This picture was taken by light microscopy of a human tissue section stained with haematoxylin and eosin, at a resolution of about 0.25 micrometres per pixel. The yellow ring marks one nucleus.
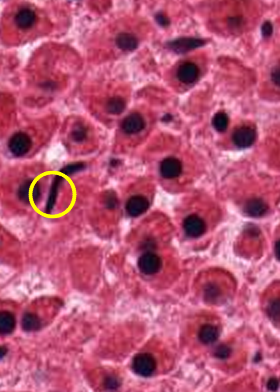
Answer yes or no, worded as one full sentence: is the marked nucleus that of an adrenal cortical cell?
No, the marked nucleus is found in a supporting cell instead of in an adrenal cortical cell.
